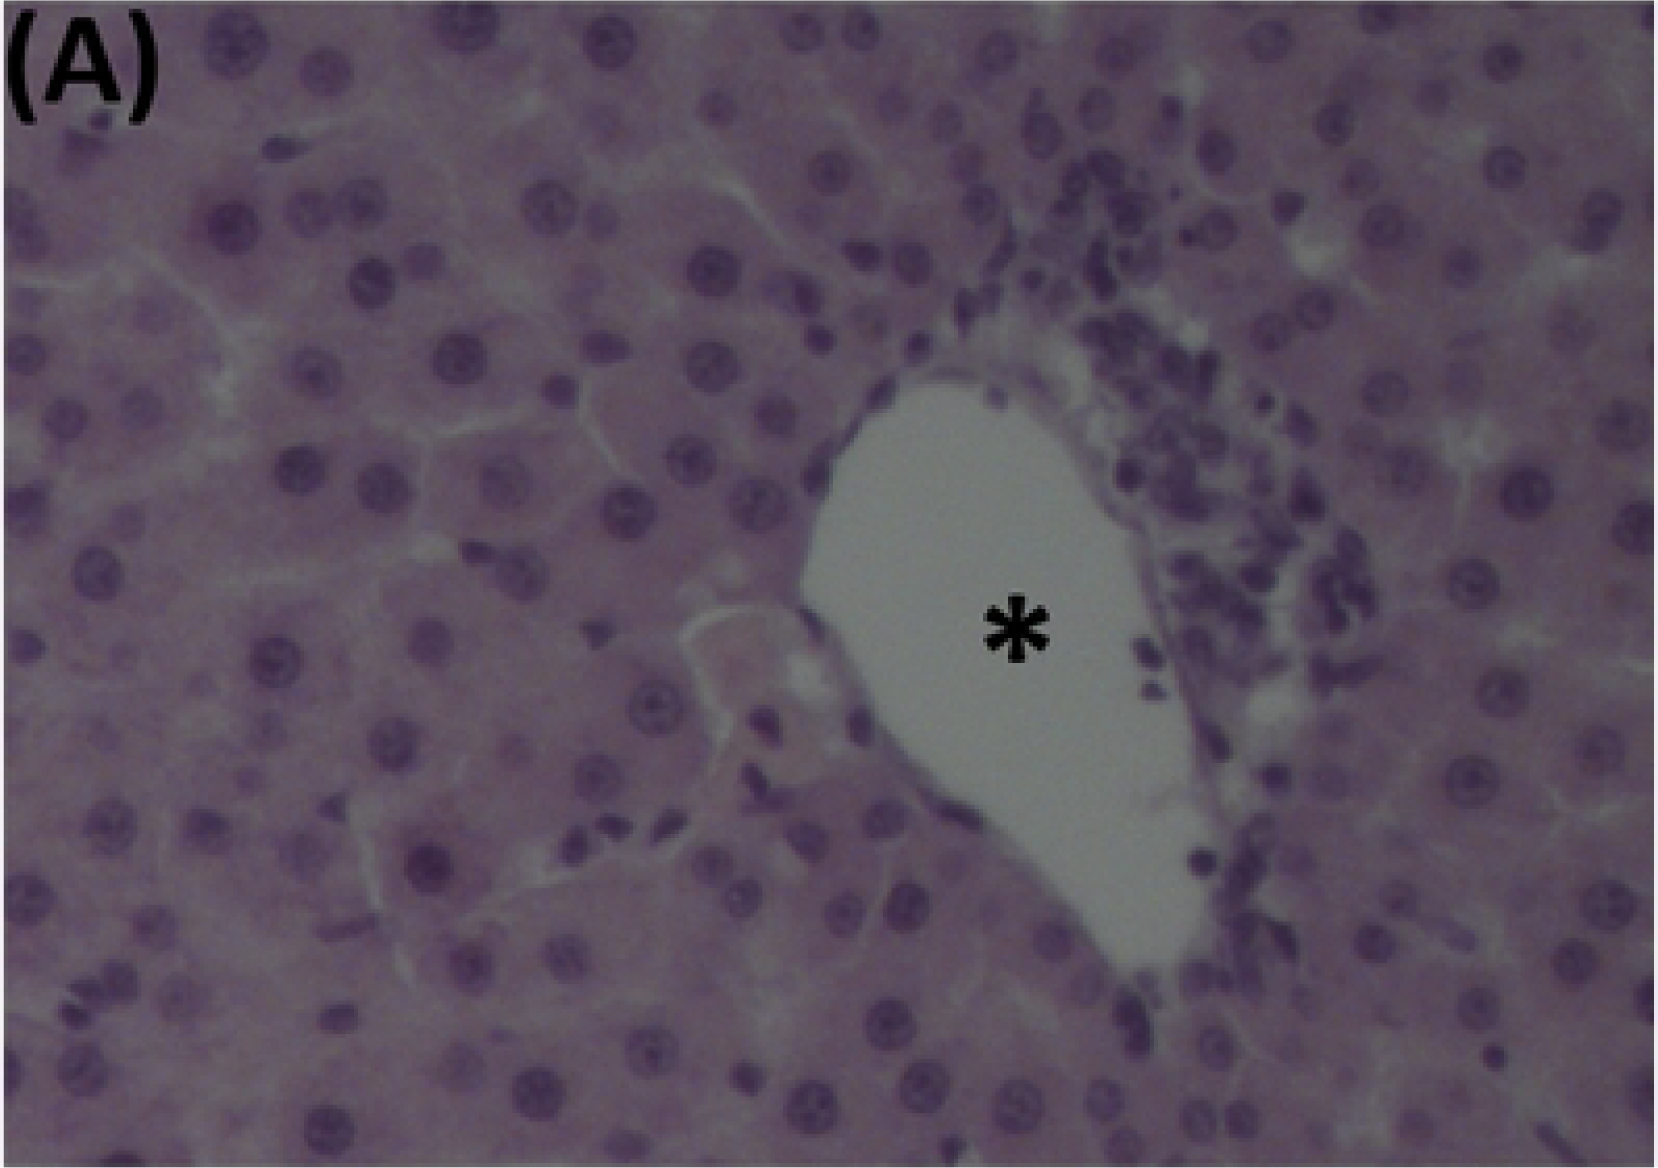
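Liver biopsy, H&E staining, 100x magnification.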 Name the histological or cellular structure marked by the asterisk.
portal vein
